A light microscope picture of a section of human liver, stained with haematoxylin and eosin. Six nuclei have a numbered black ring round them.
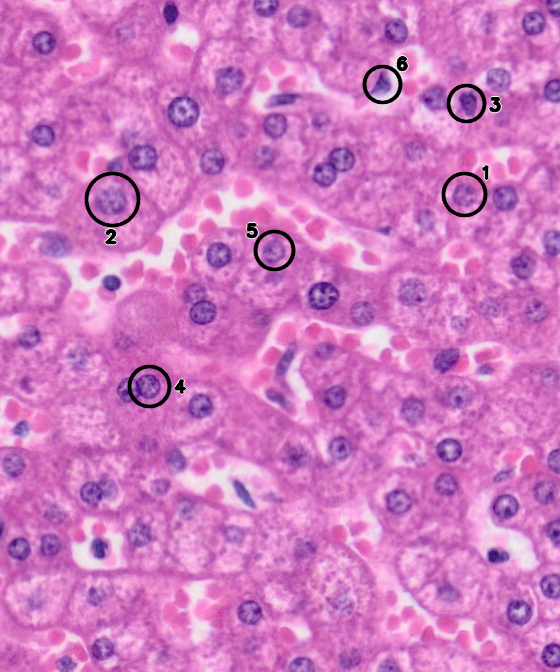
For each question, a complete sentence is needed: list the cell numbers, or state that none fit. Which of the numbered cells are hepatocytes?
The cells given the numbers 1, 2, 4 and 5 are hepatocytes.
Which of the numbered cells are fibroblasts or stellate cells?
None but cell 3 among the numbered cells is a fibroblast or stellate cell.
